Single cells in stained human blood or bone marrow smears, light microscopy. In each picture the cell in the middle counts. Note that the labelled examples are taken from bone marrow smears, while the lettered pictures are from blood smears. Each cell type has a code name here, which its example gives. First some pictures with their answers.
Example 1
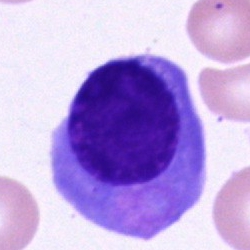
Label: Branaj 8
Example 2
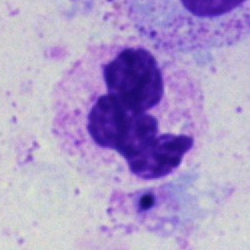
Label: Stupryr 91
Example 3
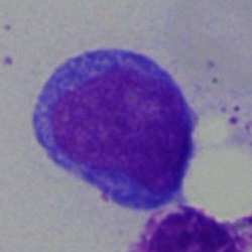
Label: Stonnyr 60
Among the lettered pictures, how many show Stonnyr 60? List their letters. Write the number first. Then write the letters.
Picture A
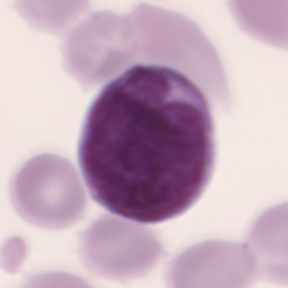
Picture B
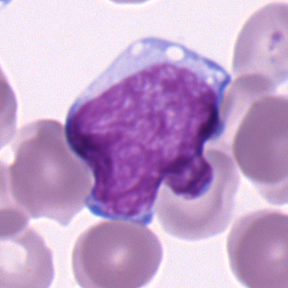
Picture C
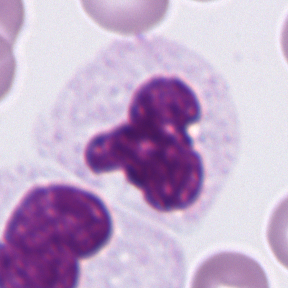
2: A, B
